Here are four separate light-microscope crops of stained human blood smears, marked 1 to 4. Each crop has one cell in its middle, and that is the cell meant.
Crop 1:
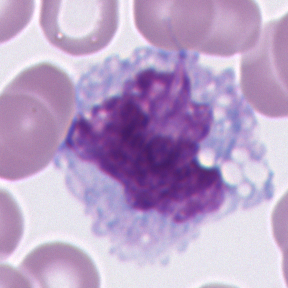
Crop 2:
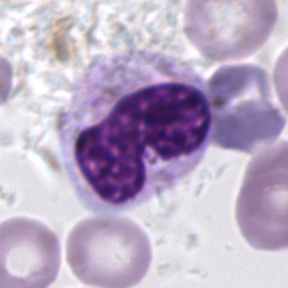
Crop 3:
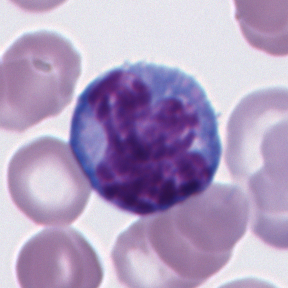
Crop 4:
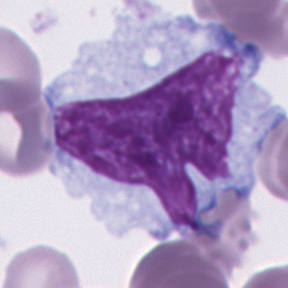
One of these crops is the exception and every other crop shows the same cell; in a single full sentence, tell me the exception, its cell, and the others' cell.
The cells centred in the other crops are all monocytes, but crop 2 is a band neutrophil.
